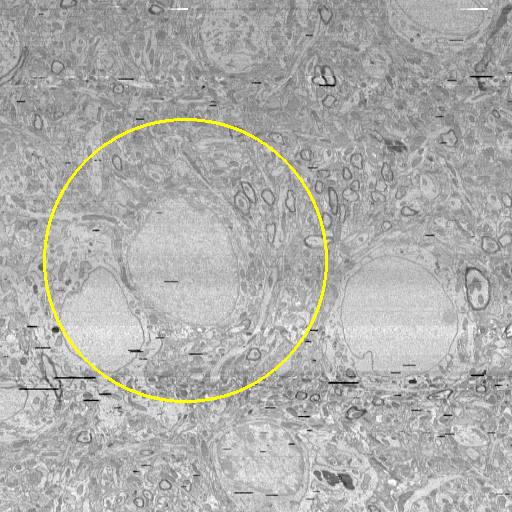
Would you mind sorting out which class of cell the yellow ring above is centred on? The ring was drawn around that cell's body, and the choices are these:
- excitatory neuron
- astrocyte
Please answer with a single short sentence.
This is the cell body of an astrocyte.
